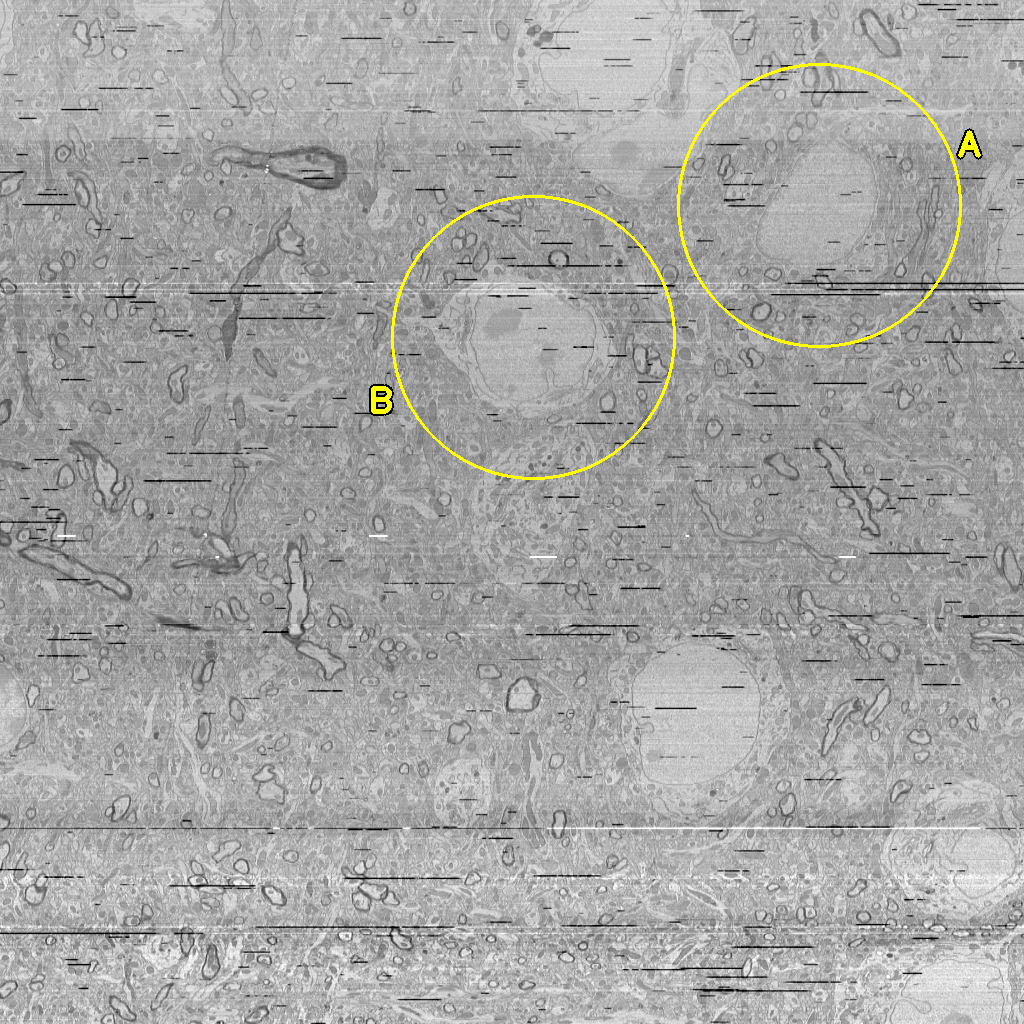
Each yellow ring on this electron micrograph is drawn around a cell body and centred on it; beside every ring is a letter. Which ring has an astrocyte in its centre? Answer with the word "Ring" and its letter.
Ring A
